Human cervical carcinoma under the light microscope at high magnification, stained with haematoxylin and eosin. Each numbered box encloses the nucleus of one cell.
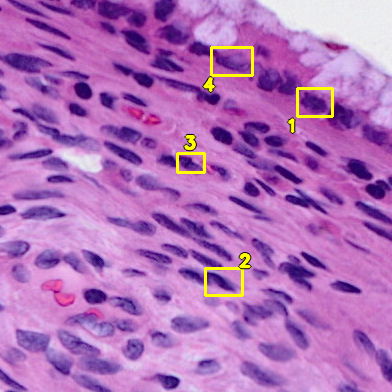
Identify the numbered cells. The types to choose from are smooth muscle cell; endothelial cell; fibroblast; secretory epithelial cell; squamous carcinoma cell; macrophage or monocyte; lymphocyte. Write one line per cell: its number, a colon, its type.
1: secretory epithelial cell
2: fibroblast
3: endothelial cell
4: secretory epithelial cell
